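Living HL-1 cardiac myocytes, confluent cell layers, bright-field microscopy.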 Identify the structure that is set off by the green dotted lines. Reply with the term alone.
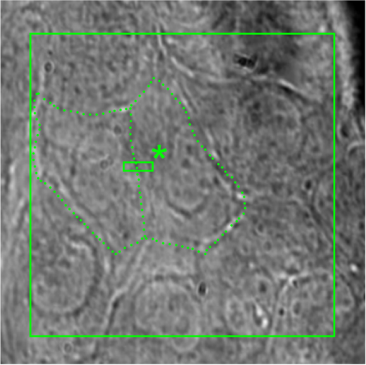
Boundaries of two cells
